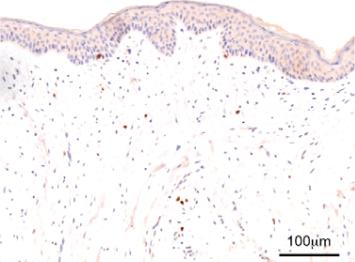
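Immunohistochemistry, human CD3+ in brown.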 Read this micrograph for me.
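This is human skin, with a thin layer of epidermis across the top and loose dermis below. The epidermis is a band of stratified cells with small blue nuclei, its lower border forming gentle downward ridges into the dermis. The dermis beneath is pale and sparsely cellular, with scattered slender blue nuclei of connective tissue cells lying among fine fibres.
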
